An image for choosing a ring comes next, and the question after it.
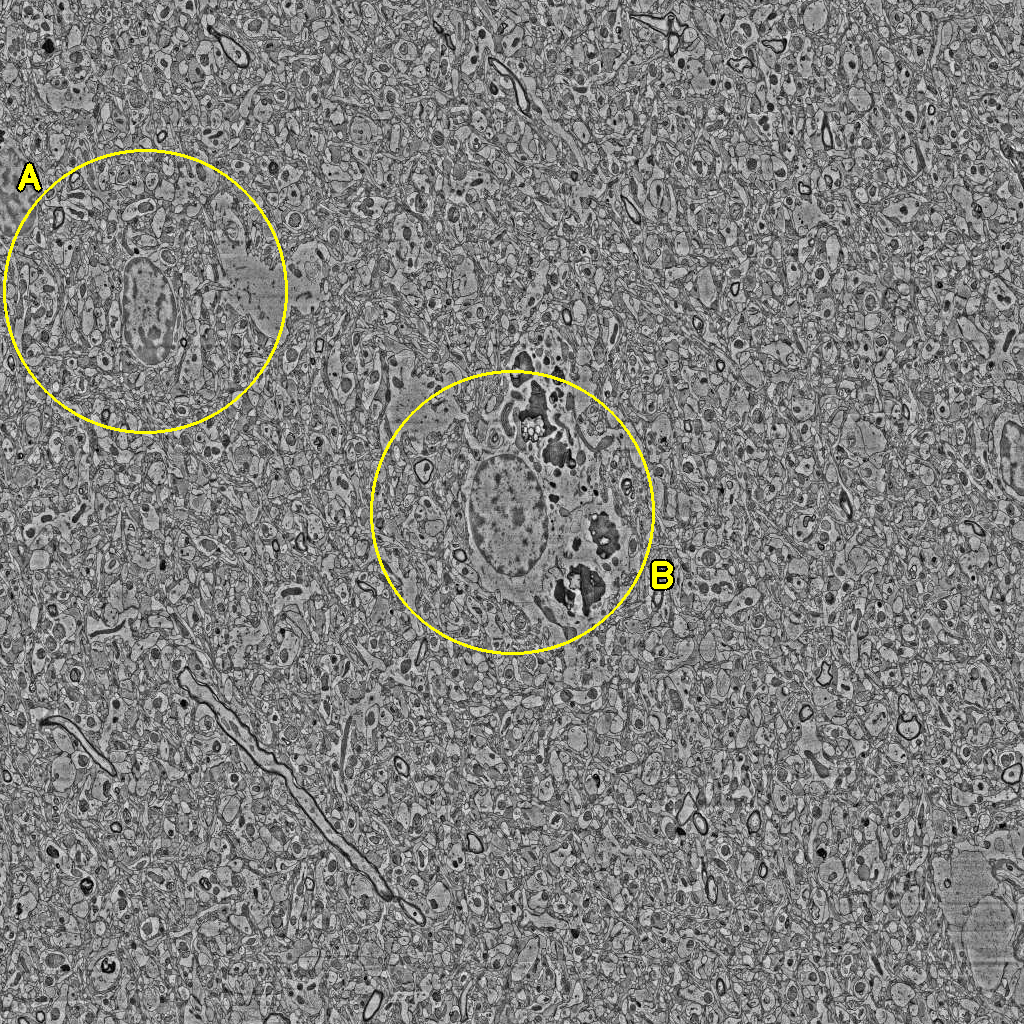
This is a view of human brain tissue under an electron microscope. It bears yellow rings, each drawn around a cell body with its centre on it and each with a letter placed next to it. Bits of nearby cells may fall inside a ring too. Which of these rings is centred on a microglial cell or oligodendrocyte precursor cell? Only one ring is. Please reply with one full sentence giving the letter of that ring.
Of all the lettered rings, A is the one centred on a cell of that kind.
